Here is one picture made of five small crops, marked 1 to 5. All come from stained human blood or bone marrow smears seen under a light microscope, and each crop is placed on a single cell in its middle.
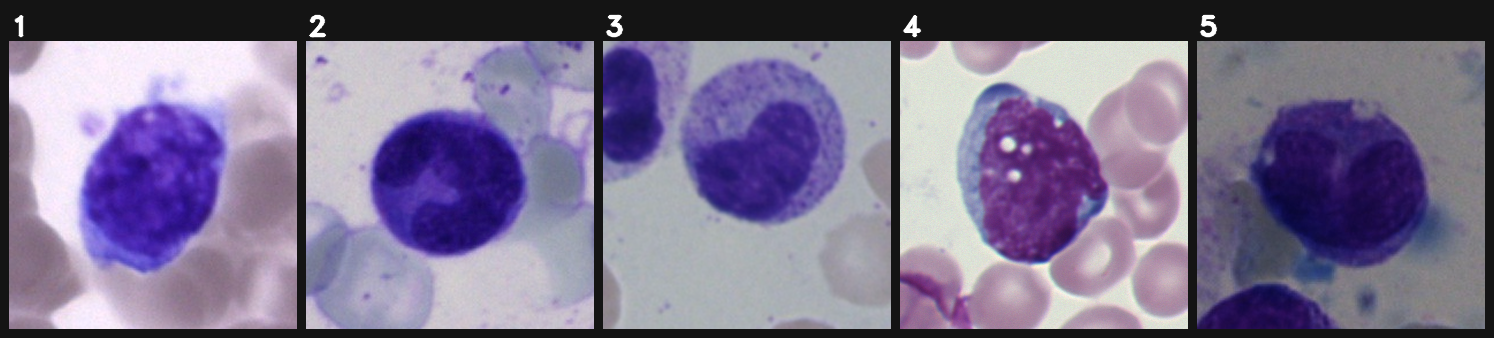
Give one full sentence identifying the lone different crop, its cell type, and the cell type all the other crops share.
The crop that differs is crop 3, showing a metamyelocyte; the others show monocytes.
